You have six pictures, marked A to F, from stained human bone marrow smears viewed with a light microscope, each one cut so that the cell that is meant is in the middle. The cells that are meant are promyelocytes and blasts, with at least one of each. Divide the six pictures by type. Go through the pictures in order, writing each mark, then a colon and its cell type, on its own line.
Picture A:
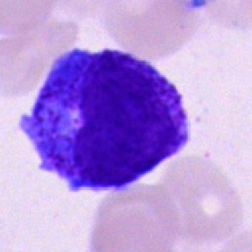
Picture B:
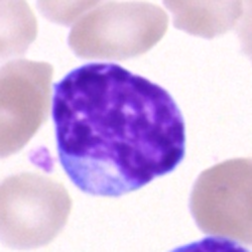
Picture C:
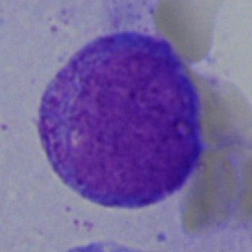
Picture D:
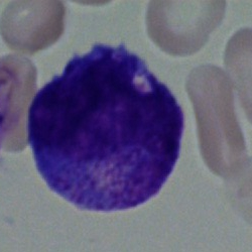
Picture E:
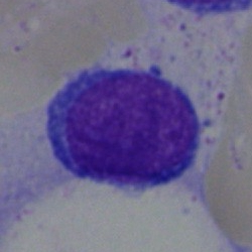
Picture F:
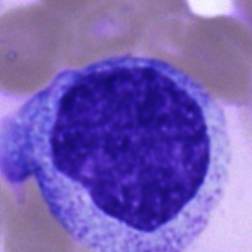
A: promyelocyte
B: blast
C: promyelocyte
D: promyelocyte
E: blast
F: promyelocyte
